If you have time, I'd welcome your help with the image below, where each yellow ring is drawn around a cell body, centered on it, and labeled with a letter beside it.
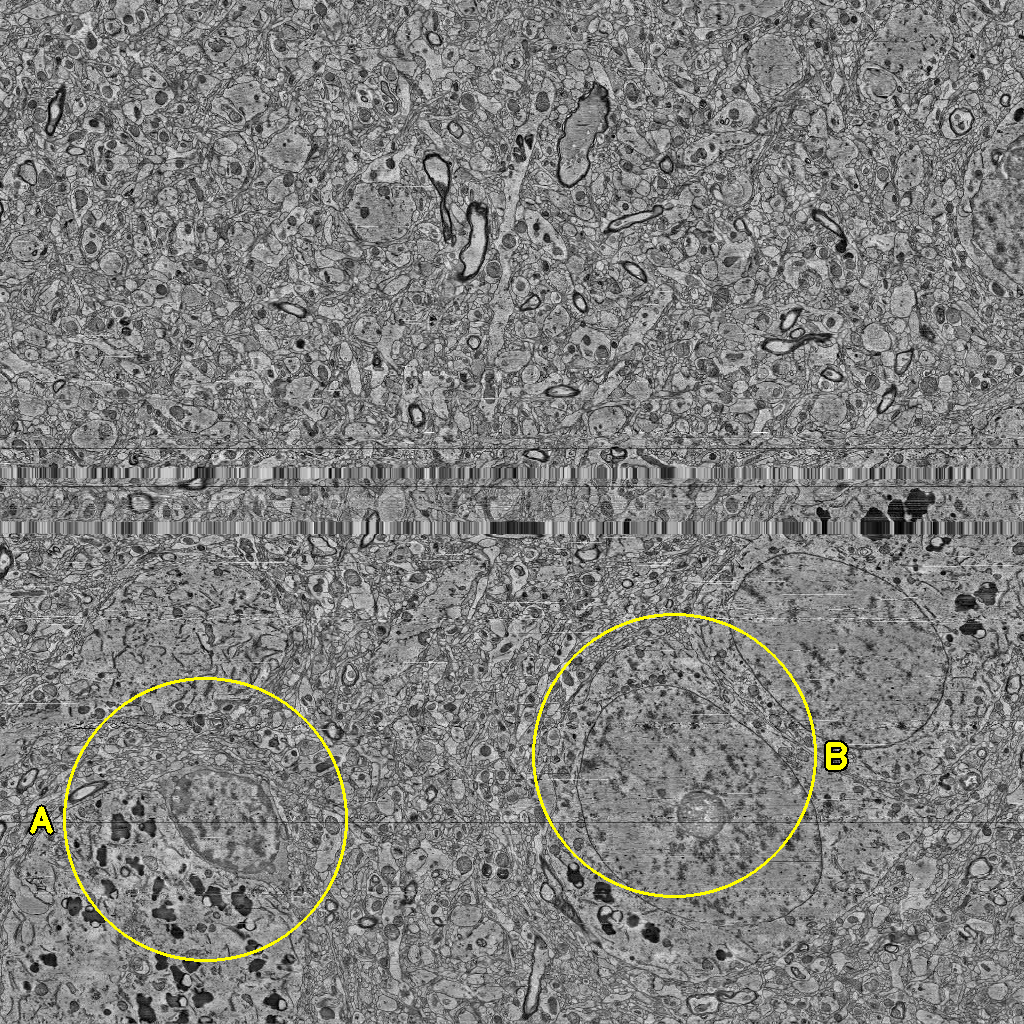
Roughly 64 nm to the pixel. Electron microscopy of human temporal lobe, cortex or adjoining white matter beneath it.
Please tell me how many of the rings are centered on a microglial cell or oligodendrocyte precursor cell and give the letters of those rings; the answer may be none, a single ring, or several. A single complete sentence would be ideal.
A search of the yellow rings finds none centred on a microglial cell or oligodendrocyte precursor cell, so the number is zero.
